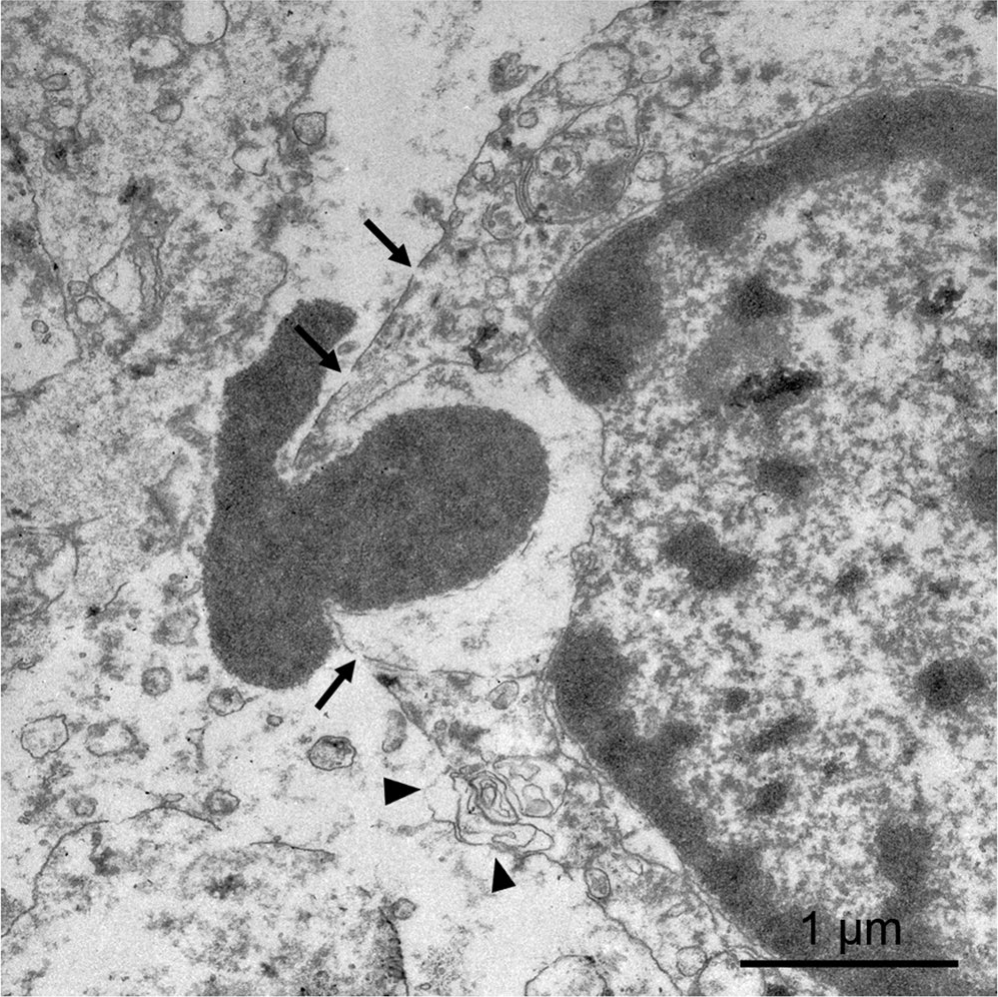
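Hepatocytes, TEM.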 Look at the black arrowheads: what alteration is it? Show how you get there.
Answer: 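At the arrowheads no continuous membrane line separates the cytoplasm from the space beside it. Loose membranous fragments and whorls lie near the arrowheads.
Hence: large areas in which the membrane has disappeared.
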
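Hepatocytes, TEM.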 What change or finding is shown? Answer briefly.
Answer: Chromatin are expelled from the nucleus to extracellular space.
